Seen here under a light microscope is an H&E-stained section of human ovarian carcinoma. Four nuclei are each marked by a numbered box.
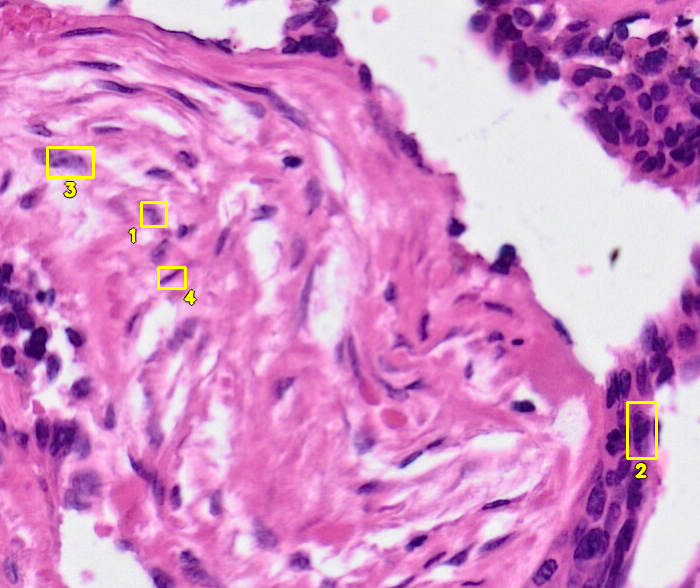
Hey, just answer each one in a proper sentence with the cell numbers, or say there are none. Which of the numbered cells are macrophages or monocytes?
Each of the numbered cells is a cell other than one of the macrophages or monocytes.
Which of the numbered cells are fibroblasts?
The cells numbered 1, 3 and 4 fall into the category of fibroblasts.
